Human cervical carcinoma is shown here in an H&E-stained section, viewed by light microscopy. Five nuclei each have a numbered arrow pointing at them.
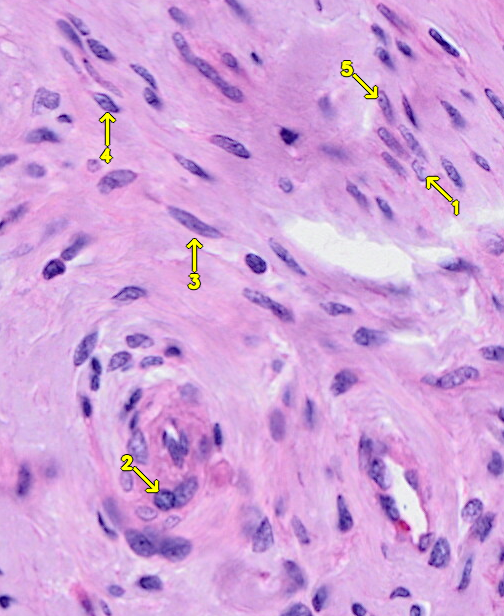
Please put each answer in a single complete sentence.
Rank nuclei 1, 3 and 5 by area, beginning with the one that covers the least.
From smallest to largest, the order is 1, 5, 3.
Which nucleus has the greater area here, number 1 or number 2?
It is nucleus 2, which covers about 2 times the area of nucleus 1.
